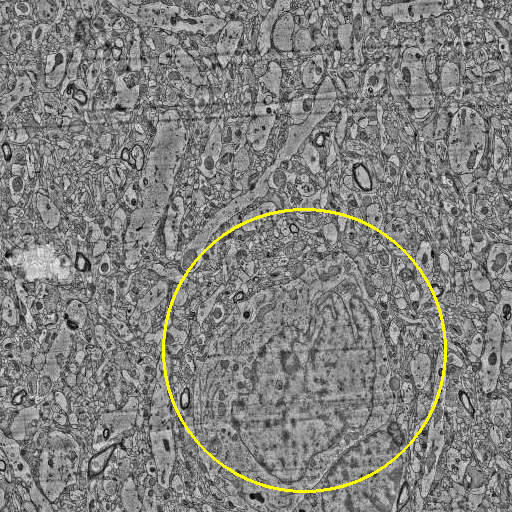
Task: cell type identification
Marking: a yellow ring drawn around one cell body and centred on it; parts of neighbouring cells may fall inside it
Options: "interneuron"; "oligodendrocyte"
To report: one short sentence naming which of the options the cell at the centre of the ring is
The cell at the centre of the ring is an interneuron.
